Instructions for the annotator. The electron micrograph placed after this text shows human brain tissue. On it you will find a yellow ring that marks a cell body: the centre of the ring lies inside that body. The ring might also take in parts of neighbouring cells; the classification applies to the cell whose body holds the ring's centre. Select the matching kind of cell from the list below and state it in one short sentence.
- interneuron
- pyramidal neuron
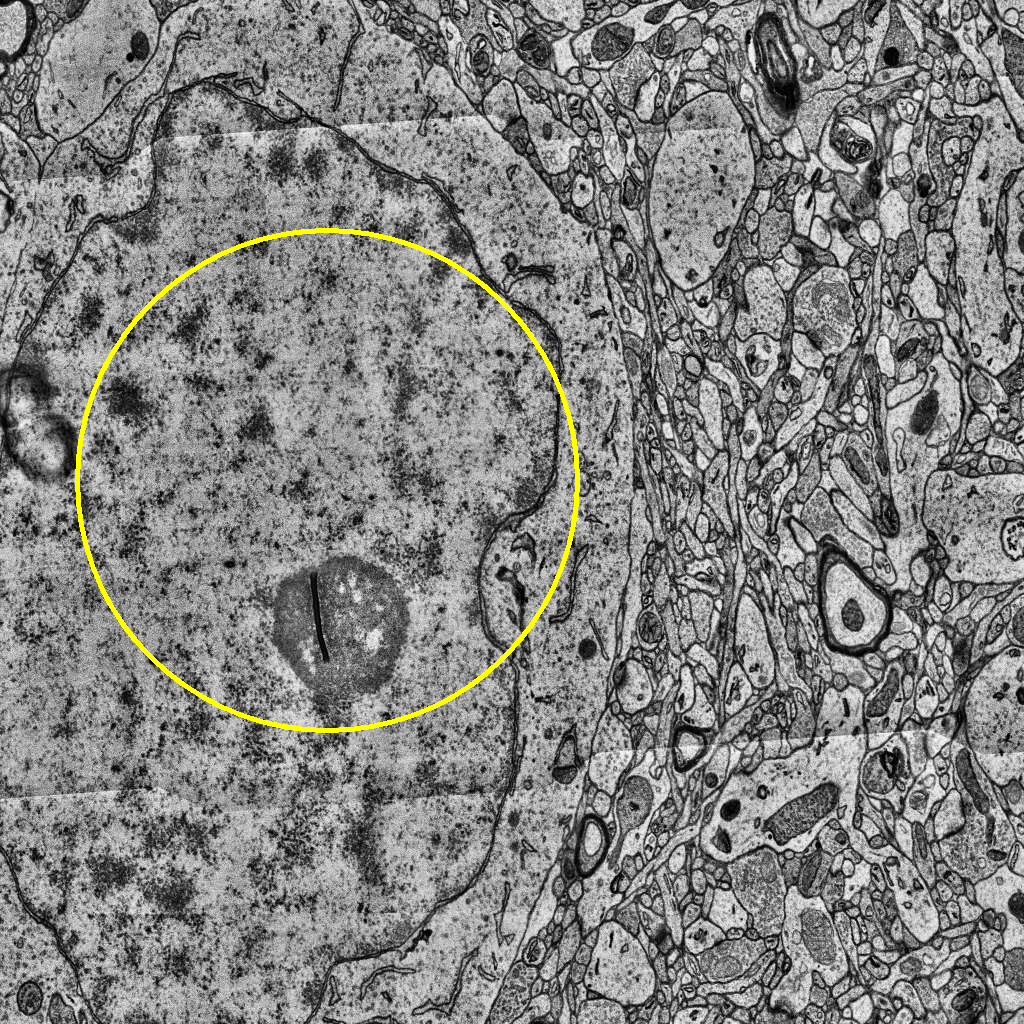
The centre of the ring lies in the cell body of an interneuron.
